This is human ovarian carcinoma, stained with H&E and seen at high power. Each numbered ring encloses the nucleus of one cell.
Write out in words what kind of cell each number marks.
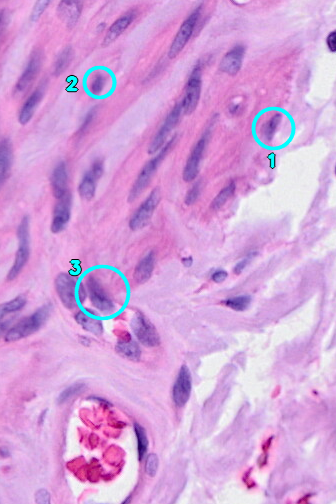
Cells 1 and 2 are smooth muscle cells. Cell 3 is an endothelial cell.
